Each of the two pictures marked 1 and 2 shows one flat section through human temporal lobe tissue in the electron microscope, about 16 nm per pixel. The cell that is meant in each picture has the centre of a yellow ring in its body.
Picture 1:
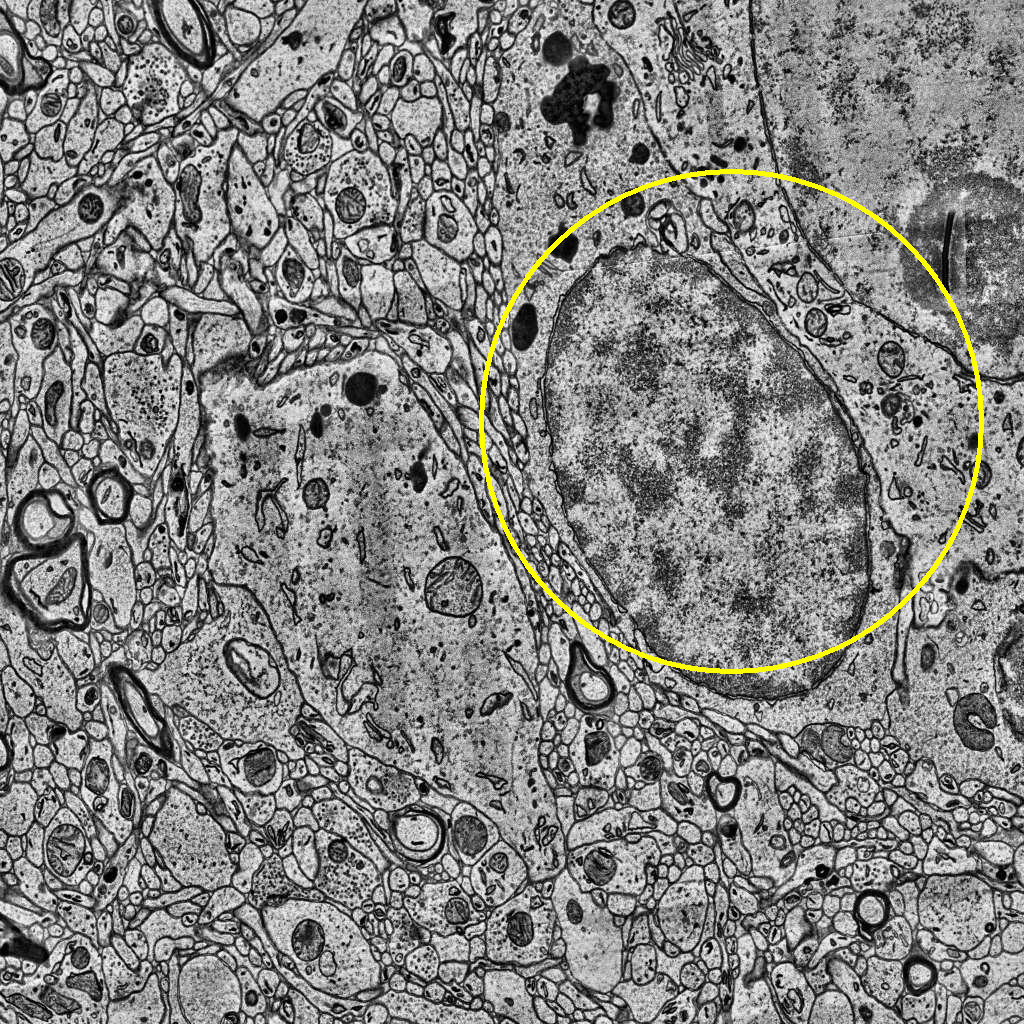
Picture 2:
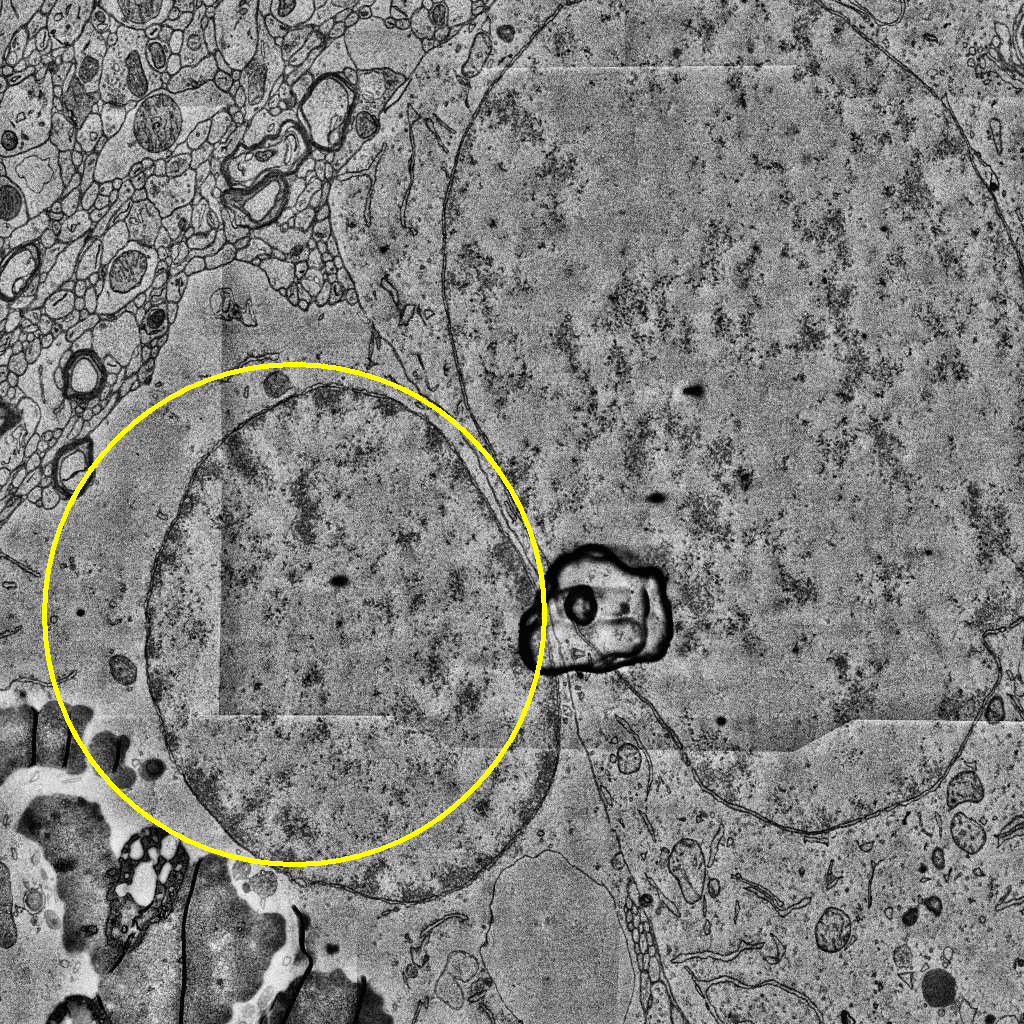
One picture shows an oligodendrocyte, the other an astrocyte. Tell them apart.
The cell in picture 1 is an oligodendrocyte, and the one in picture 2 is an astrocyte.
